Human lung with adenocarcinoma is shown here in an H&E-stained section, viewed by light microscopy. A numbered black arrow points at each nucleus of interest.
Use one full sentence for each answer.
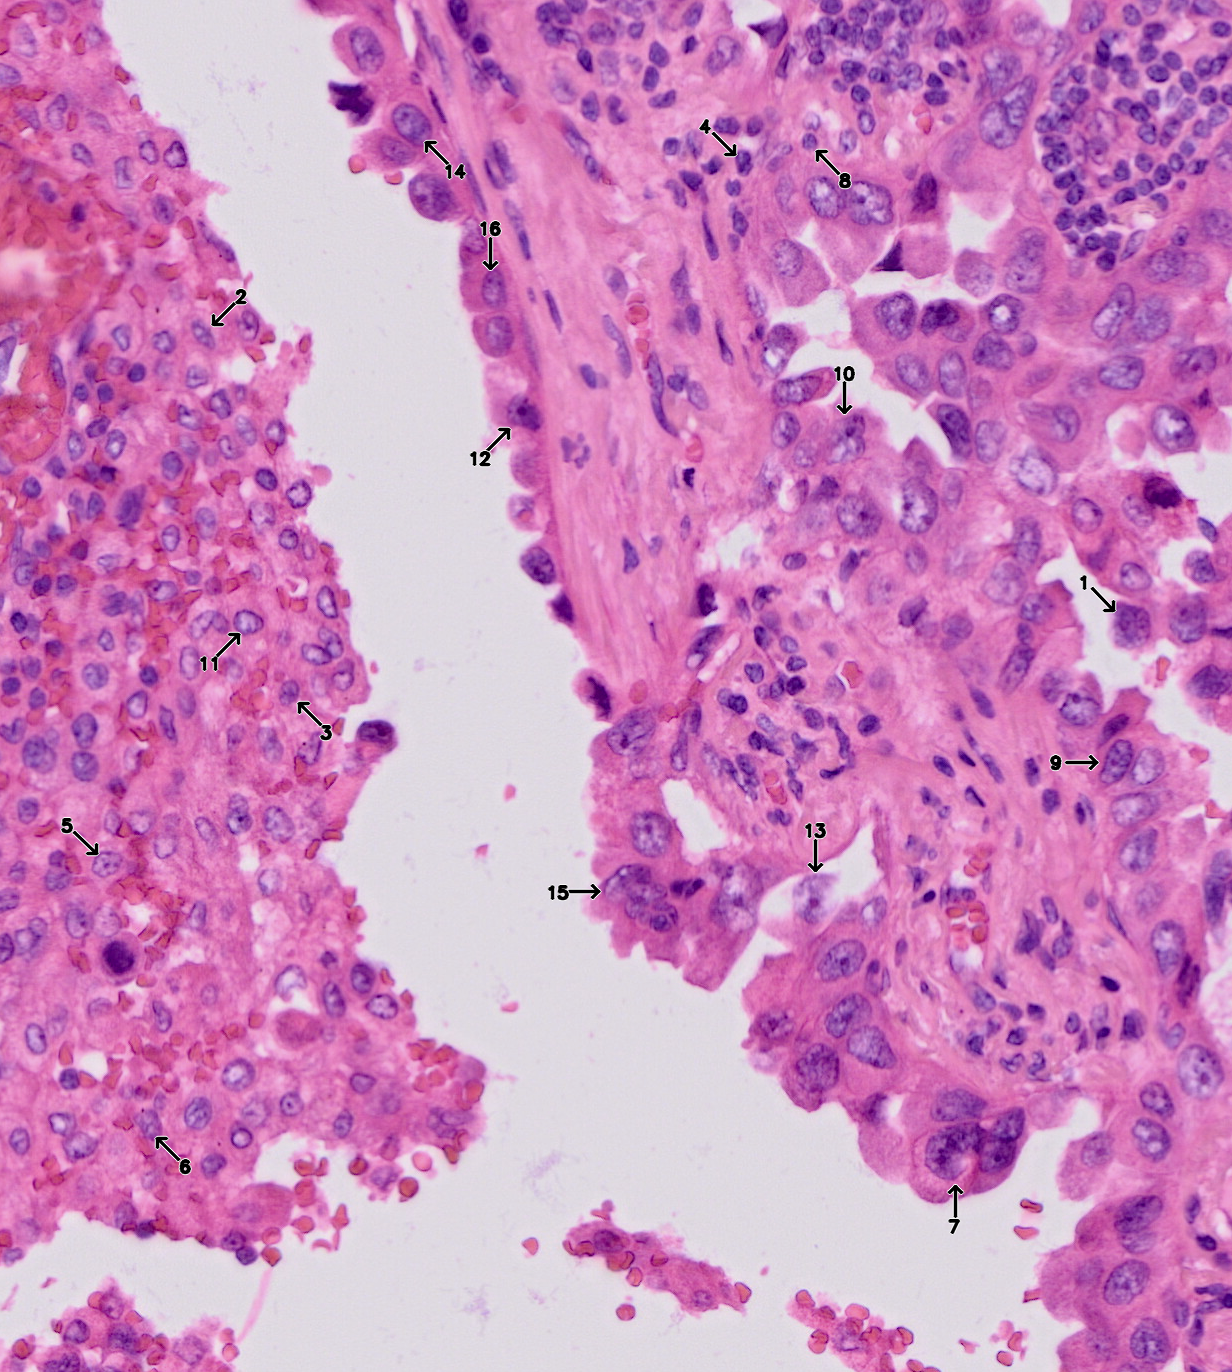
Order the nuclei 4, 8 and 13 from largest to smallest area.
By area, largest first, they run 13, 4, 8.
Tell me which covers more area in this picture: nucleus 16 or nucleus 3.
Nucleus 16 is the larger one, covering about 2 times the area of nucleus 3.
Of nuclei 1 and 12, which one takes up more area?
At about 2 times the area of nucleus 12, nucleus 1 is the larger of the two.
